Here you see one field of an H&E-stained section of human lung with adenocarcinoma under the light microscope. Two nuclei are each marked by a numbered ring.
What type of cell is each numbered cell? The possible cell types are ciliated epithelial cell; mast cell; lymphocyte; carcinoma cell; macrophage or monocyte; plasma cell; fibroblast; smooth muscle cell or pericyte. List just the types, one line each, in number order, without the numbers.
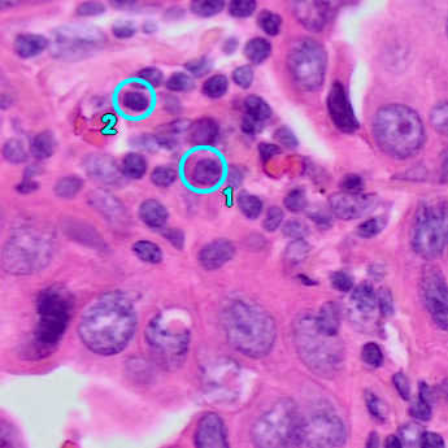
plasma cell
lymphocyte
